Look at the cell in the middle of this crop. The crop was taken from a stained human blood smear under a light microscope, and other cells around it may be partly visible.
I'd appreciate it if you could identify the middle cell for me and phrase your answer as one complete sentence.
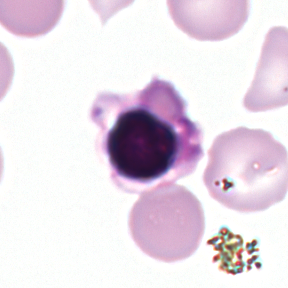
The cell shown in the center of this light-microscope crop is a normoblast.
